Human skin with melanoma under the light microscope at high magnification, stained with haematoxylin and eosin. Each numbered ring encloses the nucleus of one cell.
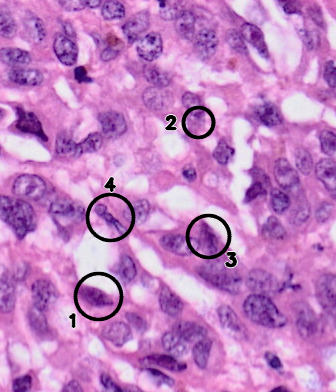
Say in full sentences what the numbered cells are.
Cells 1, 2 and 3 are melanoma cells. Cell 4 is a macrophage or monocyte.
